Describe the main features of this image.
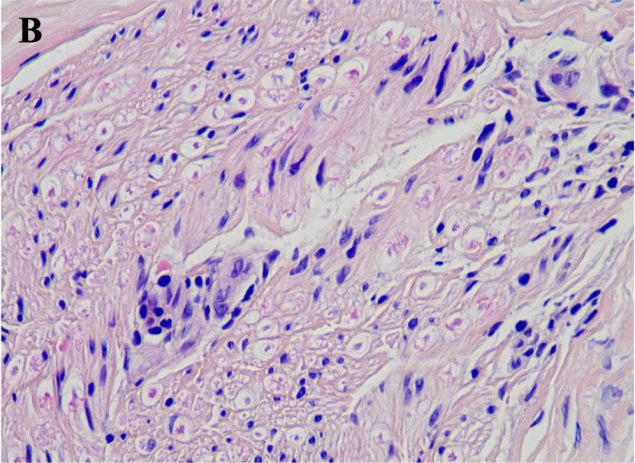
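At higher power, the nerve fascicle shows many round fibre profiles, each with a pale clear ring around a small pink core. Elongated dark nuclei run between the fibres.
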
